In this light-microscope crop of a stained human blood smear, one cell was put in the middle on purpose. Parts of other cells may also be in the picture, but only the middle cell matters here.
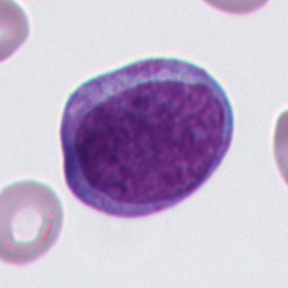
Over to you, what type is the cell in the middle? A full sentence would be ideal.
Classification of the middle cell gives an atypical promyelocyte.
